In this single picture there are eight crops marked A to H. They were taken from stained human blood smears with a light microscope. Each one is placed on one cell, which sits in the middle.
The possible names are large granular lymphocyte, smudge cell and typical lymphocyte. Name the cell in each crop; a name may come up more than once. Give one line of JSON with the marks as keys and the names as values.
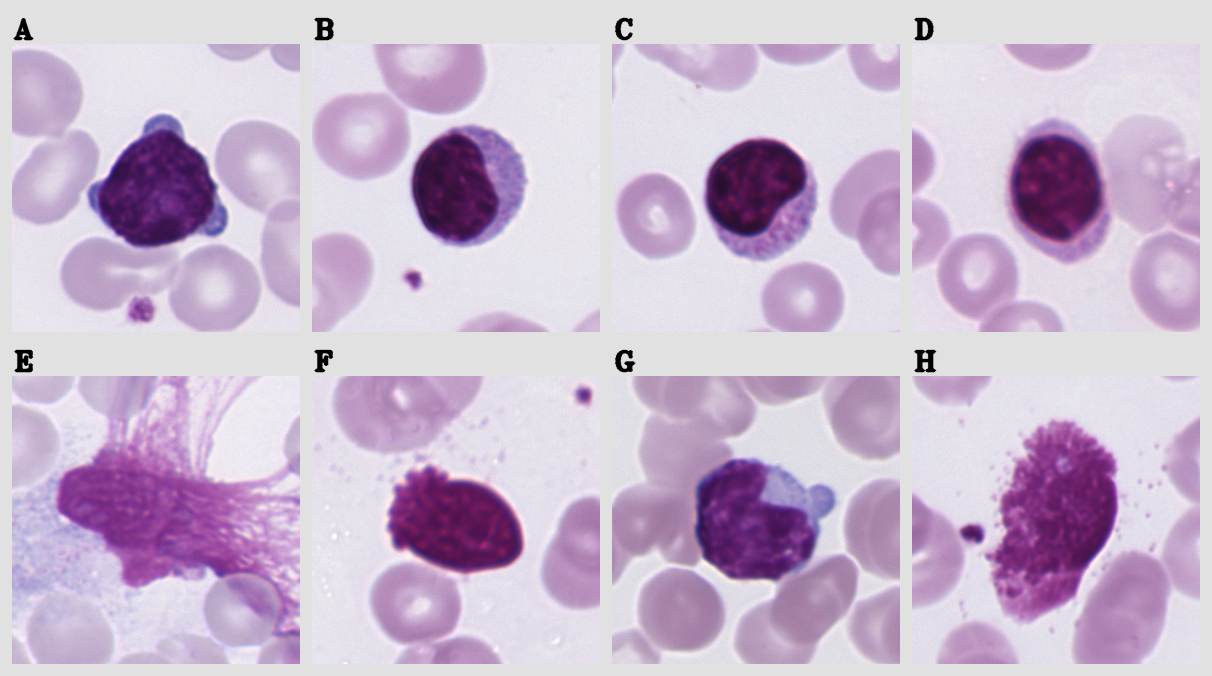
{"A": "typical lymphocyte", "B": "typical lymphocyte", "C": "large granular lymphocyte", "D": "large granular lymphocyte", "E": "smudge cell", "F": "smudge cell", "G": "large granular lymphocyte", "H": "smudge cell"}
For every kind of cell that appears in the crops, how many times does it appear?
large granular lymphocyte: 3
smudge cell: 3
typical lymphocyte: 2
